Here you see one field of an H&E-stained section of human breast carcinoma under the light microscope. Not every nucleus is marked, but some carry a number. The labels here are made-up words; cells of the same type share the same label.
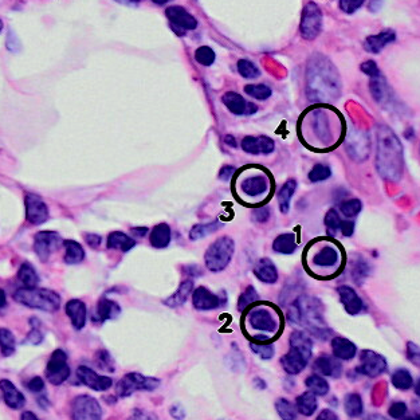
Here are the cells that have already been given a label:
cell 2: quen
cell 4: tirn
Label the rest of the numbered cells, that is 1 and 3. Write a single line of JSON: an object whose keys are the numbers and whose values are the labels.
{"1": "quen", "3": "quen"}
